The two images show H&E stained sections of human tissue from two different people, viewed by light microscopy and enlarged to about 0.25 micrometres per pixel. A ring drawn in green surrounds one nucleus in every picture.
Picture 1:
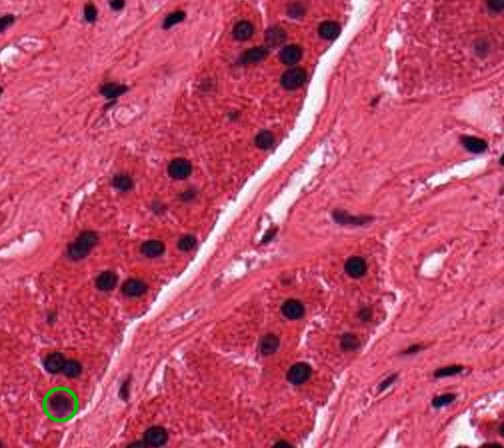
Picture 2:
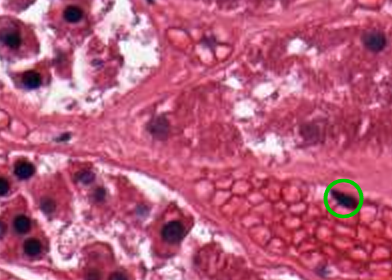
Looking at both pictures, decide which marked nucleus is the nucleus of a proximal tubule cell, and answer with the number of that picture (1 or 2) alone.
1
